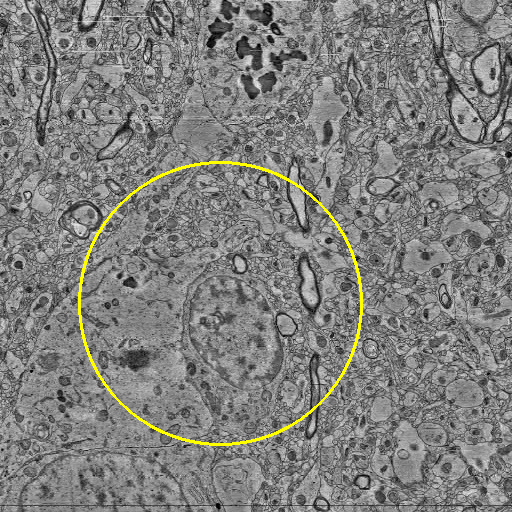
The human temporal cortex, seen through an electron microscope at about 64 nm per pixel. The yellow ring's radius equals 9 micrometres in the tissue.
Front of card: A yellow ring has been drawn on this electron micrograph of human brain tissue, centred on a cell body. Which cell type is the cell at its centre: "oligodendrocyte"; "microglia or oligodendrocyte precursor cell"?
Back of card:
oligodendrocyte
